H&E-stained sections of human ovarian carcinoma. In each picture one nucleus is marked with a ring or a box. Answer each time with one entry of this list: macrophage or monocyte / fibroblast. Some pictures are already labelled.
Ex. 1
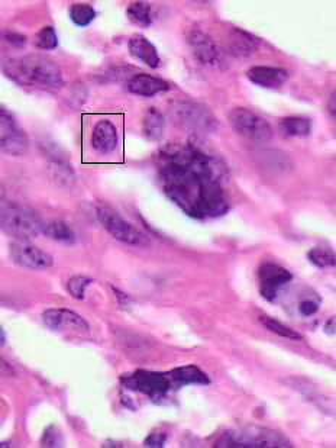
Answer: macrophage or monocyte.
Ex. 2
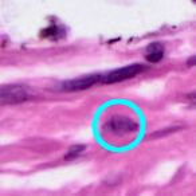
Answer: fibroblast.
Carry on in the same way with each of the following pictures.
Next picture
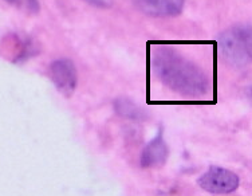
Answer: fibroblast.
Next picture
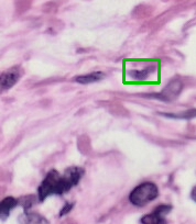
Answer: fibroblast.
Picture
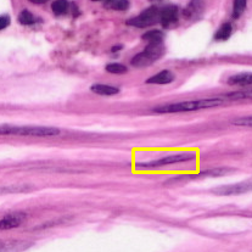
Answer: fibroblast.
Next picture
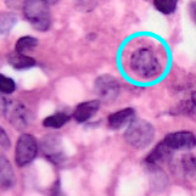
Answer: macrophage or monocyte.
